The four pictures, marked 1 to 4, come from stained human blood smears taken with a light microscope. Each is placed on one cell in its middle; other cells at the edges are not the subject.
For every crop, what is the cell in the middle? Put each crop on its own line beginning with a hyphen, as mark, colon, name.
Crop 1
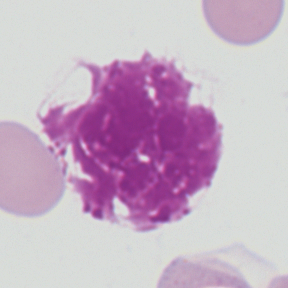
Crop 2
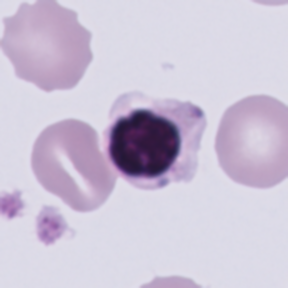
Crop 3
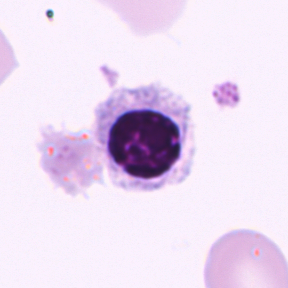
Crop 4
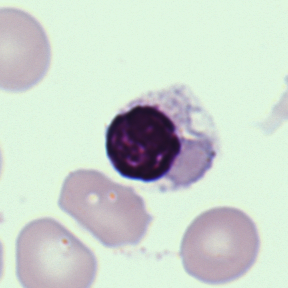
- 1: smudge cell
- 2: erythroblast
- 3: erythroblast
- 4: erythroblast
